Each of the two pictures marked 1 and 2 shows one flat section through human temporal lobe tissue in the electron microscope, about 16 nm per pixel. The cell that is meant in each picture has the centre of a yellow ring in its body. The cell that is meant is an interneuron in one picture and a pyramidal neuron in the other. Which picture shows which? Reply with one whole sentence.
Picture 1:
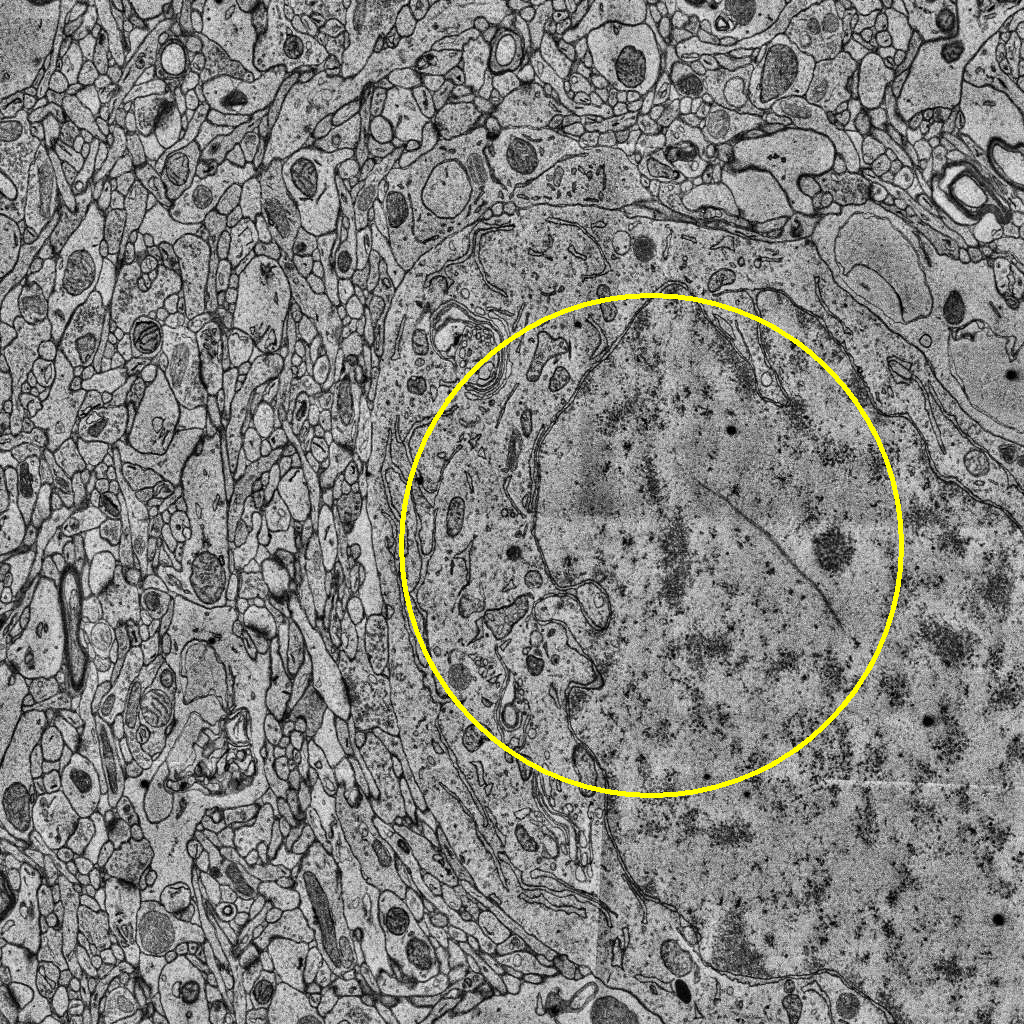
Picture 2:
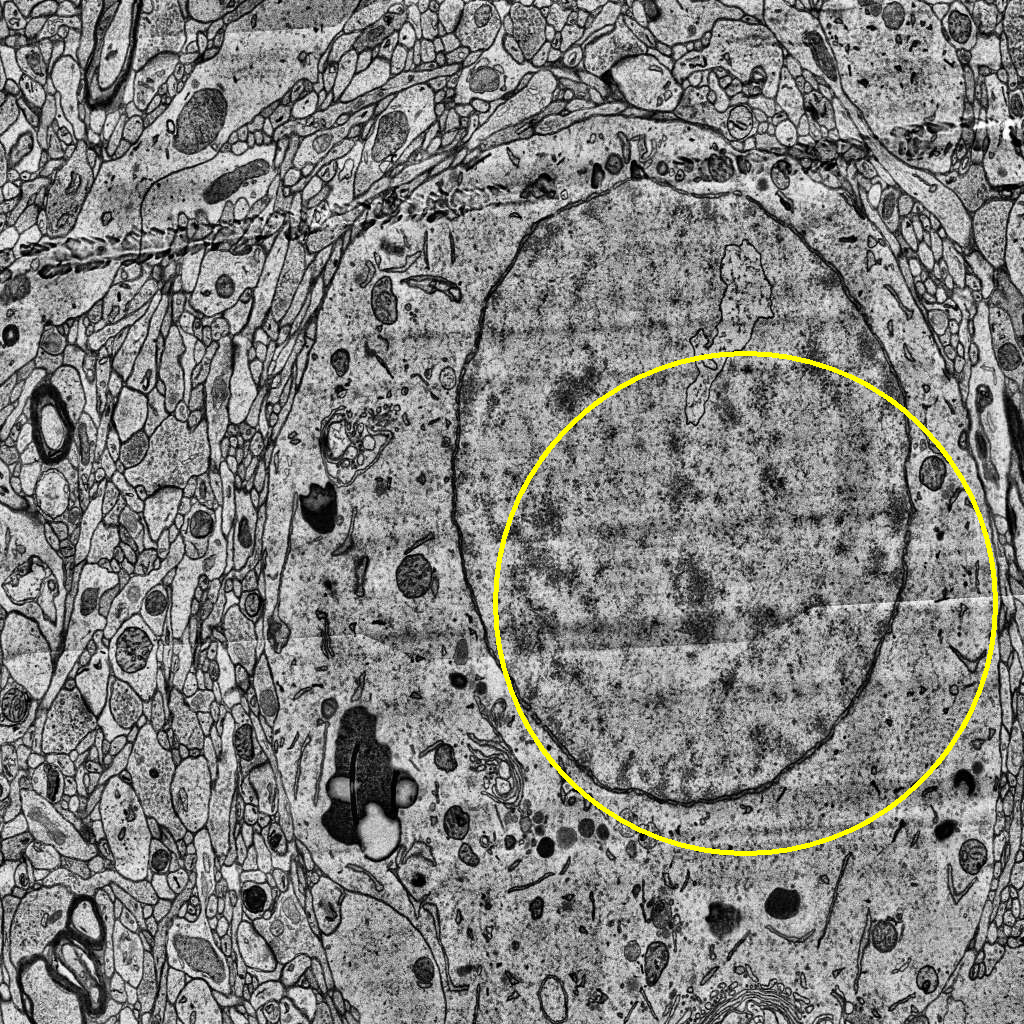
Picture 1 shows an interneuron and picture 2 shows a pyramidal neuron.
